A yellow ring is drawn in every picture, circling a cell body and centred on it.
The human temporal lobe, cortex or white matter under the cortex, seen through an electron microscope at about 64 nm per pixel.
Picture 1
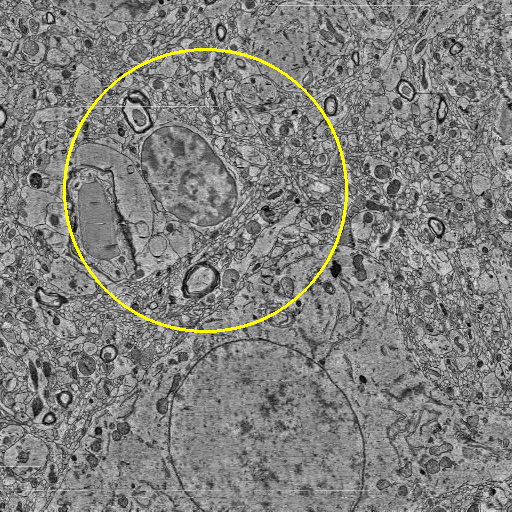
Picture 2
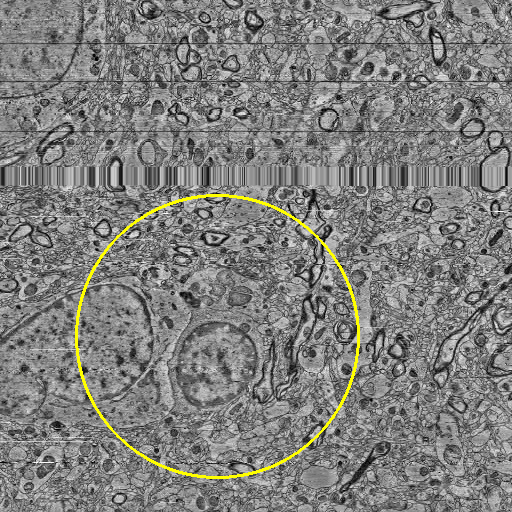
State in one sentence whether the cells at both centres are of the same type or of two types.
The cells at the two ring centres, one per picture, are of two types.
